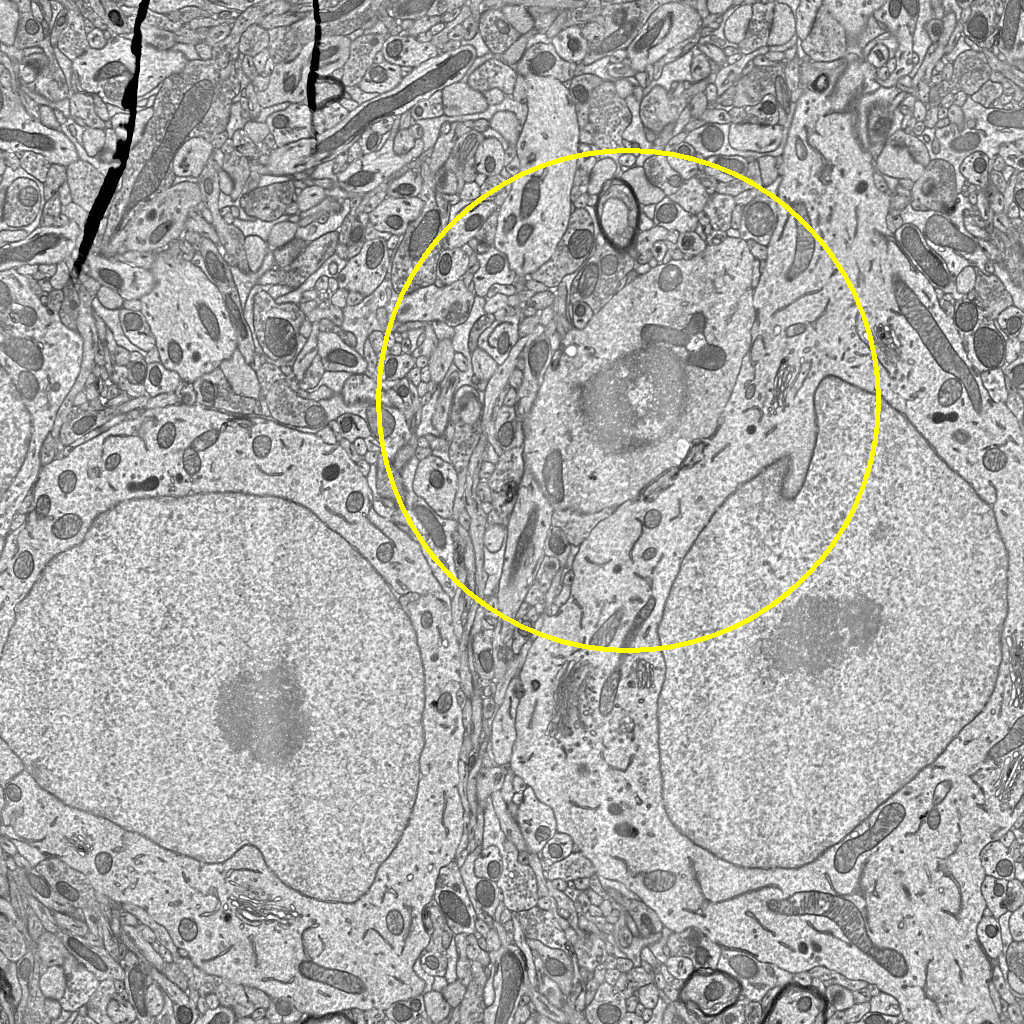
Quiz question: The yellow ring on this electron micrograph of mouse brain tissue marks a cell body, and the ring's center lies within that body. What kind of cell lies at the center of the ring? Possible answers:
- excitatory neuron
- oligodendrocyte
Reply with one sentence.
The ring's center lies on an oligodendrocyte.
